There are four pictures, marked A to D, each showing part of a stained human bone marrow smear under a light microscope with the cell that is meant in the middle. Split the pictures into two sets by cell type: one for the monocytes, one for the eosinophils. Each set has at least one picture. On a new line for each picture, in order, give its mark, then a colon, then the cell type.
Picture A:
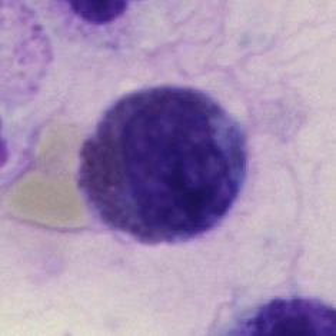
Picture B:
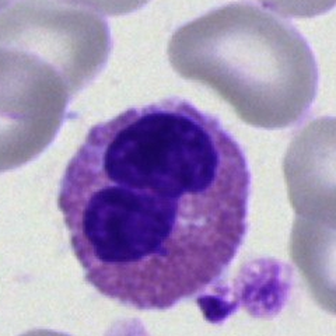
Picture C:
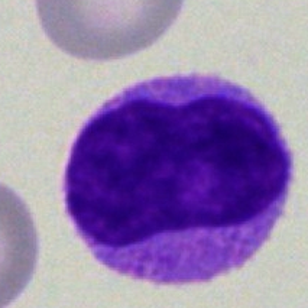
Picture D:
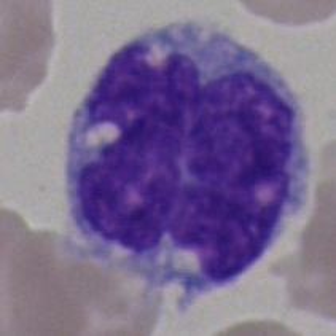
A: eosinophil
B: eosinophil
C: monocyte
D: monocyte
